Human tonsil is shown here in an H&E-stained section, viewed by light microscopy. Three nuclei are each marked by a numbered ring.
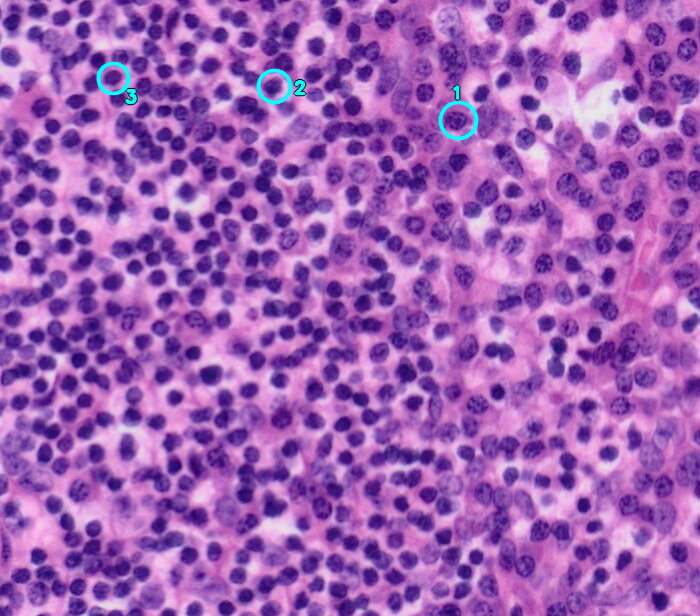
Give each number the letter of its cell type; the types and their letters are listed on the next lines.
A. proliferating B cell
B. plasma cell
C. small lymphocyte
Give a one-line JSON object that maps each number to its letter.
{"1": "B", "2": "C", "3": "C"}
